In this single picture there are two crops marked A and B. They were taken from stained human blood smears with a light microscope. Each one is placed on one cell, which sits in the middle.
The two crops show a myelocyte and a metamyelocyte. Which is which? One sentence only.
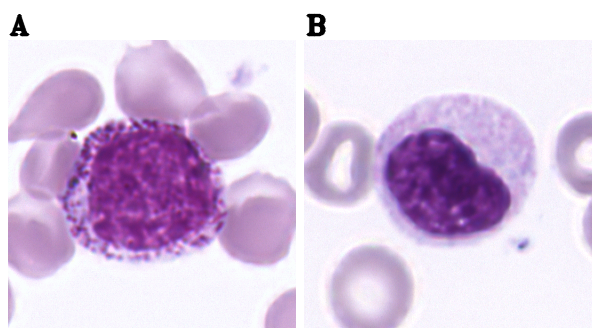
The cell centred in crop A is a myelocyte, and the one centred in crop B is a metamyelocyte.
